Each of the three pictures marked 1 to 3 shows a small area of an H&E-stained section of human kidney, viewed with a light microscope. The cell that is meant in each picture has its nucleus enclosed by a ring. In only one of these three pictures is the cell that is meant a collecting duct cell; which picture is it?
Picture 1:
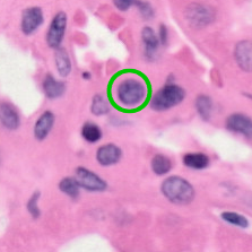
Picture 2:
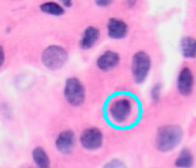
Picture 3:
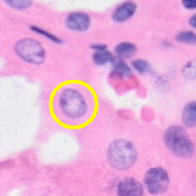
1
